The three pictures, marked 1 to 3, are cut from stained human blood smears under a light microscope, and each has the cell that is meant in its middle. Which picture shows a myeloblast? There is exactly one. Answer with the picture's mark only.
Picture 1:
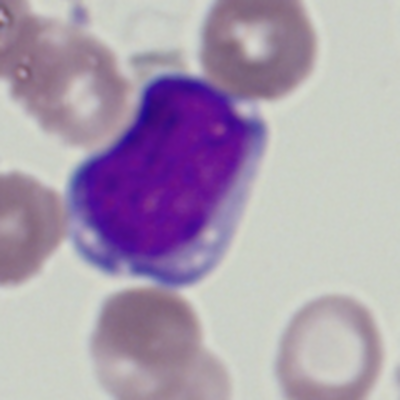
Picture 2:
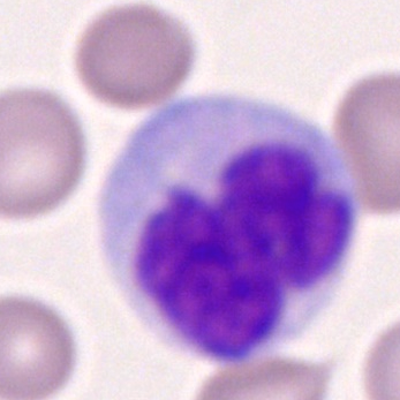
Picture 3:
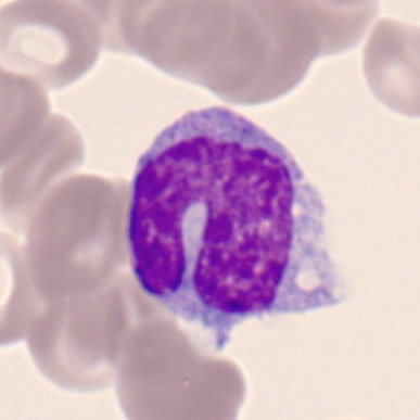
1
